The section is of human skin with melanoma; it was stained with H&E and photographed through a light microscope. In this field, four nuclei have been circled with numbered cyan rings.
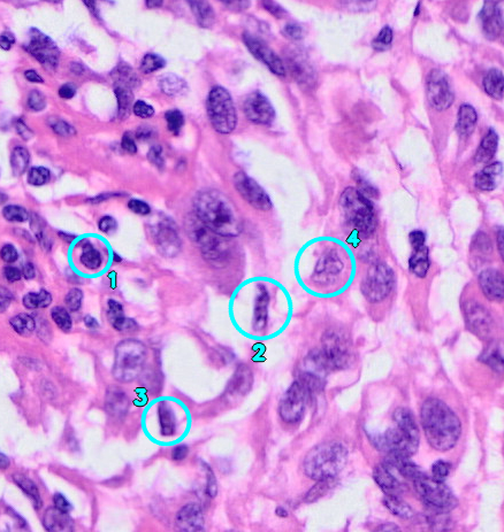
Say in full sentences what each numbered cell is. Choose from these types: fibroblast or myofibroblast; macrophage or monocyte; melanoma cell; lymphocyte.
Cell 1 is a lymphocyte. Cells 2, 3 and 4 are melanoma cells.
